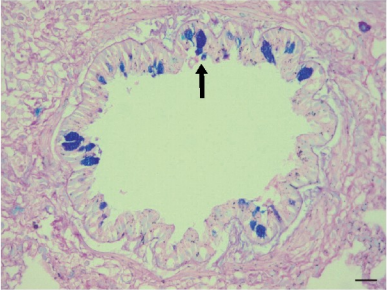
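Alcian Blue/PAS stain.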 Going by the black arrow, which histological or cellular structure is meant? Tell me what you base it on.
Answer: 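Dark blue clumps sit within the epithelial lining of the airway. The arrow points at one of these blue deposits at the luminal edge. Several such blue deposits are spread around the airway circumference.
Conclusion: Epithelial mucins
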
